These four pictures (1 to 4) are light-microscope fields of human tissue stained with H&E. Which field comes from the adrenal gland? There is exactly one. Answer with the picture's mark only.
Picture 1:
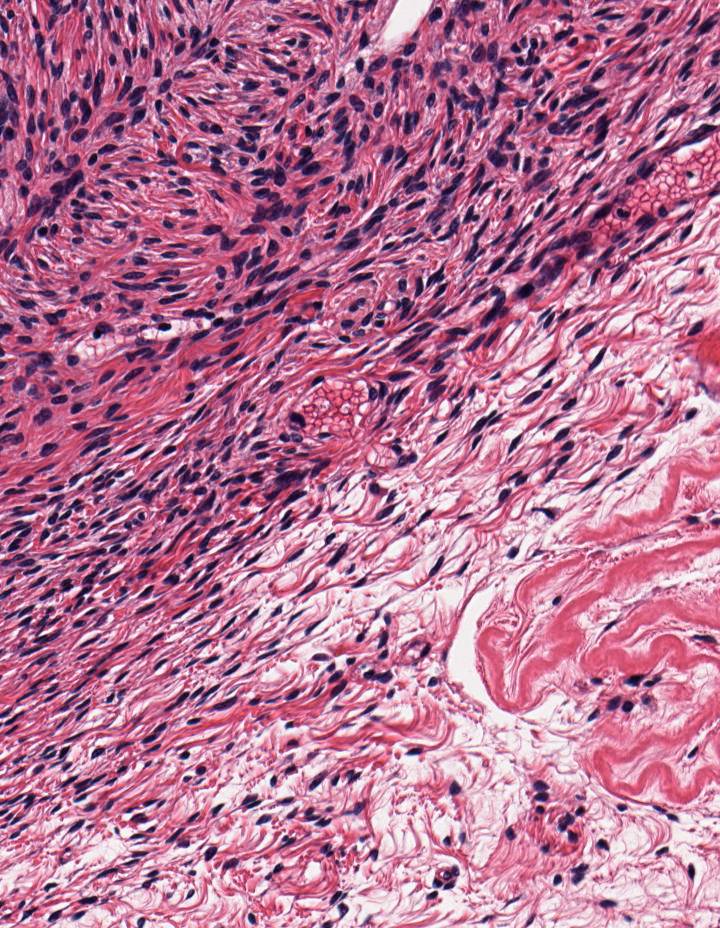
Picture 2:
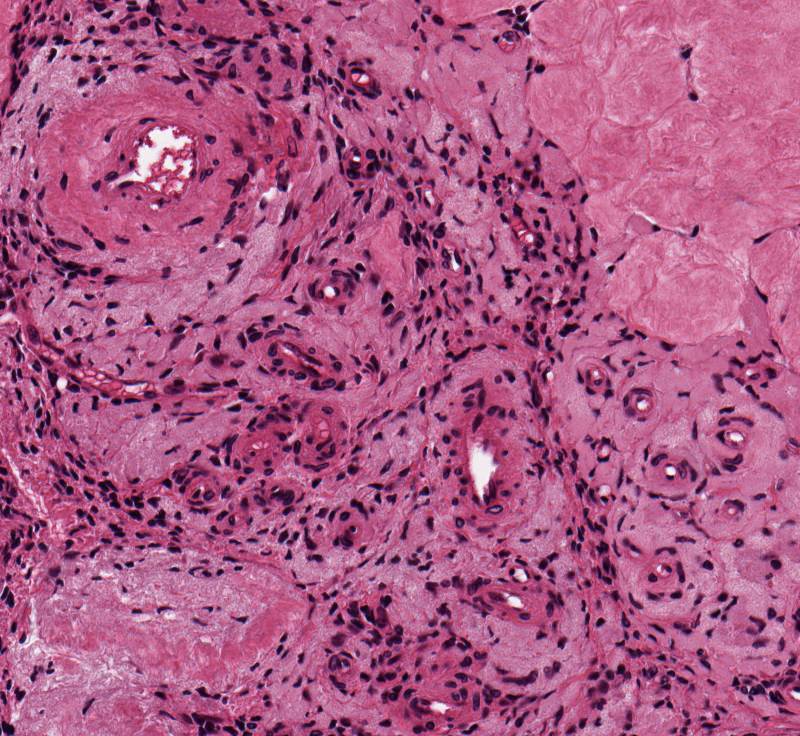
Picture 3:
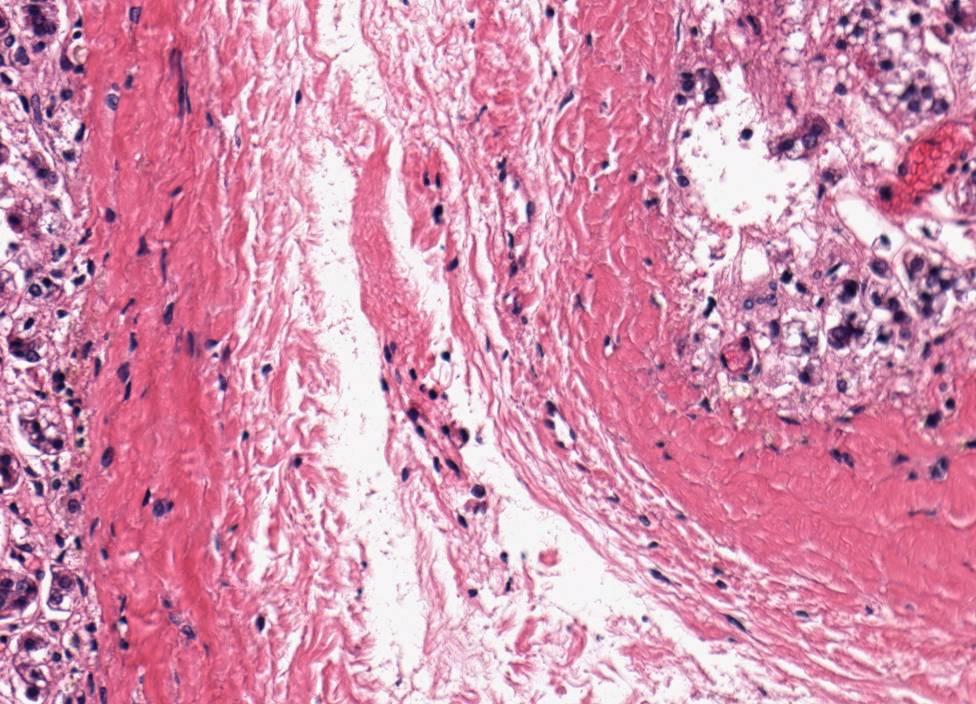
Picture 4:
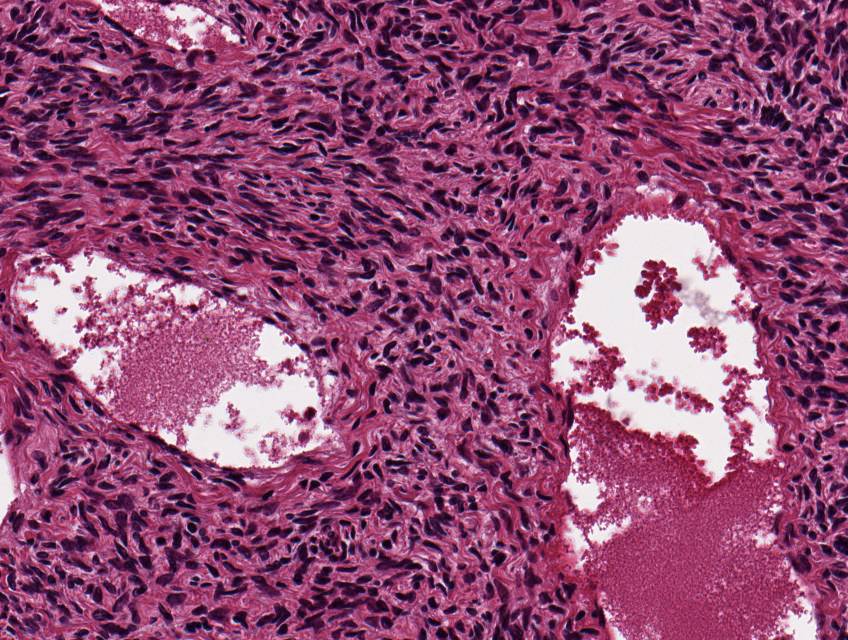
3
